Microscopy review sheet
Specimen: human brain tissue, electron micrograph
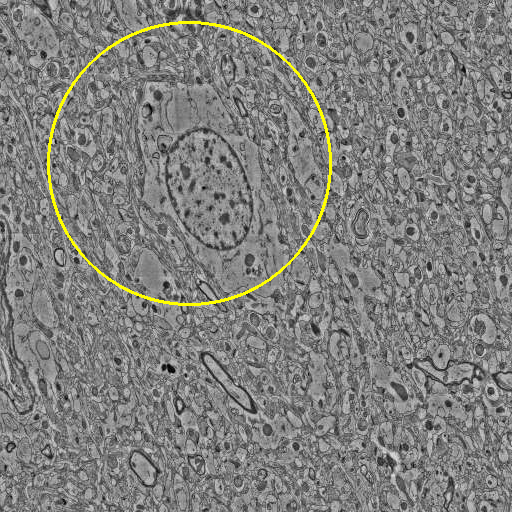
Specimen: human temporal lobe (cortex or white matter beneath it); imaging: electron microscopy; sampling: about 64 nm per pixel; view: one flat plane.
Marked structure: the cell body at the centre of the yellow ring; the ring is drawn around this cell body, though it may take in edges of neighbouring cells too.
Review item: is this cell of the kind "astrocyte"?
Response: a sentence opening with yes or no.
Yes, this cell is of that kind.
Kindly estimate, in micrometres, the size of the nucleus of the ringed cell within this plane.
Roughly 8 micrometres by 5 micrometres, so the nucleus is clearly longer than it is wide in this plane.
